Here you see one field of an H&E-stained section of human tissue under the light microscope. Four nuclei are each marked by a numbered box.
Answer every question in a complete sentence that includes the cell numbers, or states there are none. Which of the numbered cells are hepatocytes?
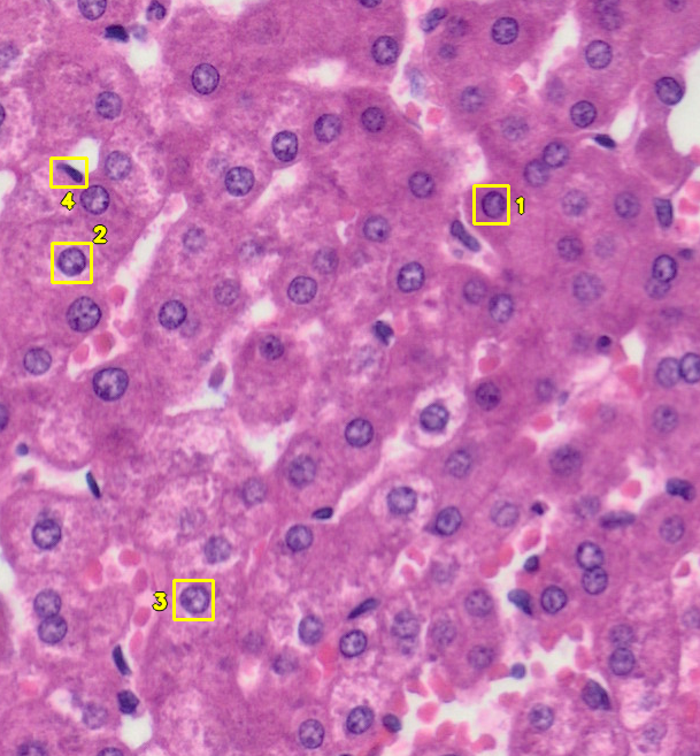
Within this tissue, the cells numbered 1, 2 and 3 are hepatocytes.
